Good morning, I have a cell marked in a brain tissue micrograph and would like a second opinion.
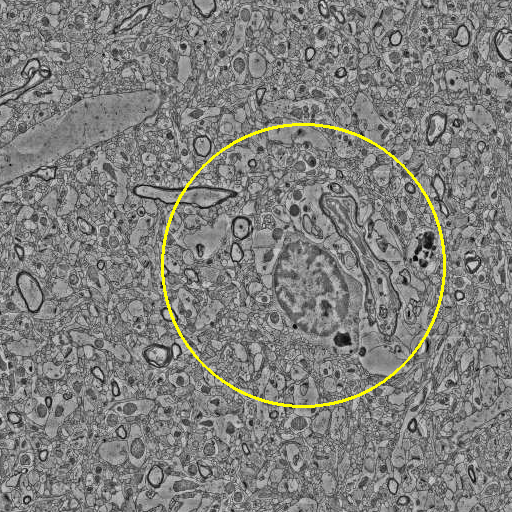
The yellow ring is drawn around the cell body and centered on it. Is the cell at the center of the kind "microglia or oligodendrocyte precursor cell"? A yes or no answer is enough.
no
